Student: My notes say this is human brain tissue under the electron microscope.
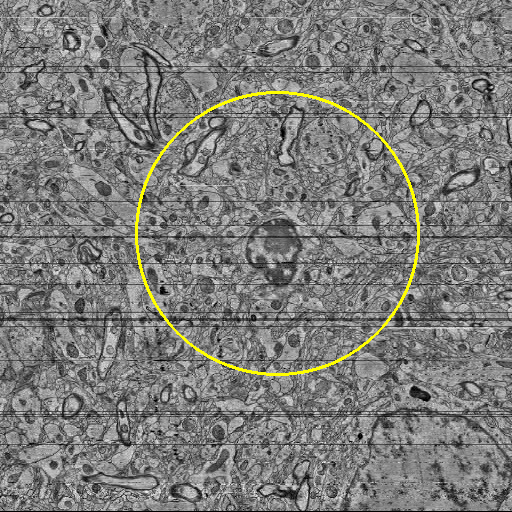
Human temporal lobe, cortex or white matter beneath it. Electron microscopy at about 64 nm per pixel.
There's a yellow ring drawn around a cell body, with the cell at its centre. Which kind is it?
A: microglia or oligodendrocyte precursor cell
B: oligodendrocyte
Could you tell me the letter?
A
